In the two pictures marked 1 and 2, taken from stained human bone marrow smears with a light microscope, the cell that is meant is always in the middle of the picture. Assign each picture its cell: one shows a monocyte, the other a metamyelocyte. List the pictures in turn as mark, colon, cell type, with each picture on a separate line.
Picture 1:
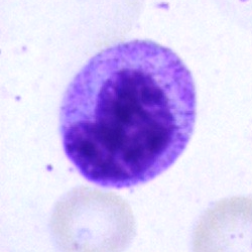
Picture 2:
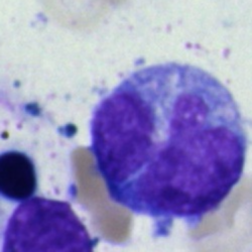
1: metamyelocyte
2: monocyte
